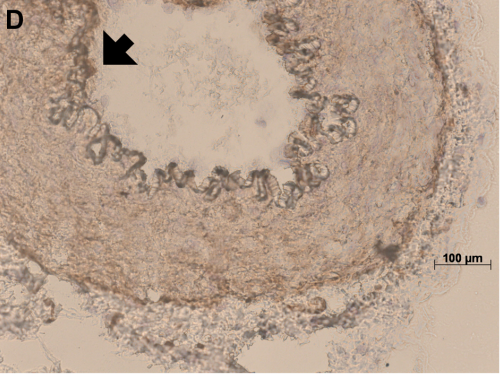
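This is part of a small artery cut across, with the lumen at the upper left. The lumen is lined by a strongly folded, scalloped inner layer. This layer is darker than the rest of the wall, and an arrowhead points at it. These lining cells are the endothelial cells of the tunica intima. Outside the lining lies a broad, paler brown layer with fine, concentric texture. At the outer edge is looser, fibrous tissue with scattered bluish-grey spots.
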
